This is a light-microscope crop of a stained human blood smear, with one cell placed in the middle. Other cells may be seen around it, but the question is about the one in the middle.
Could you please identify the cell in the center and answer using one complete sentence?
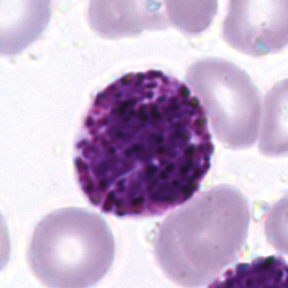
In short, the cell at the center is a basophil.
